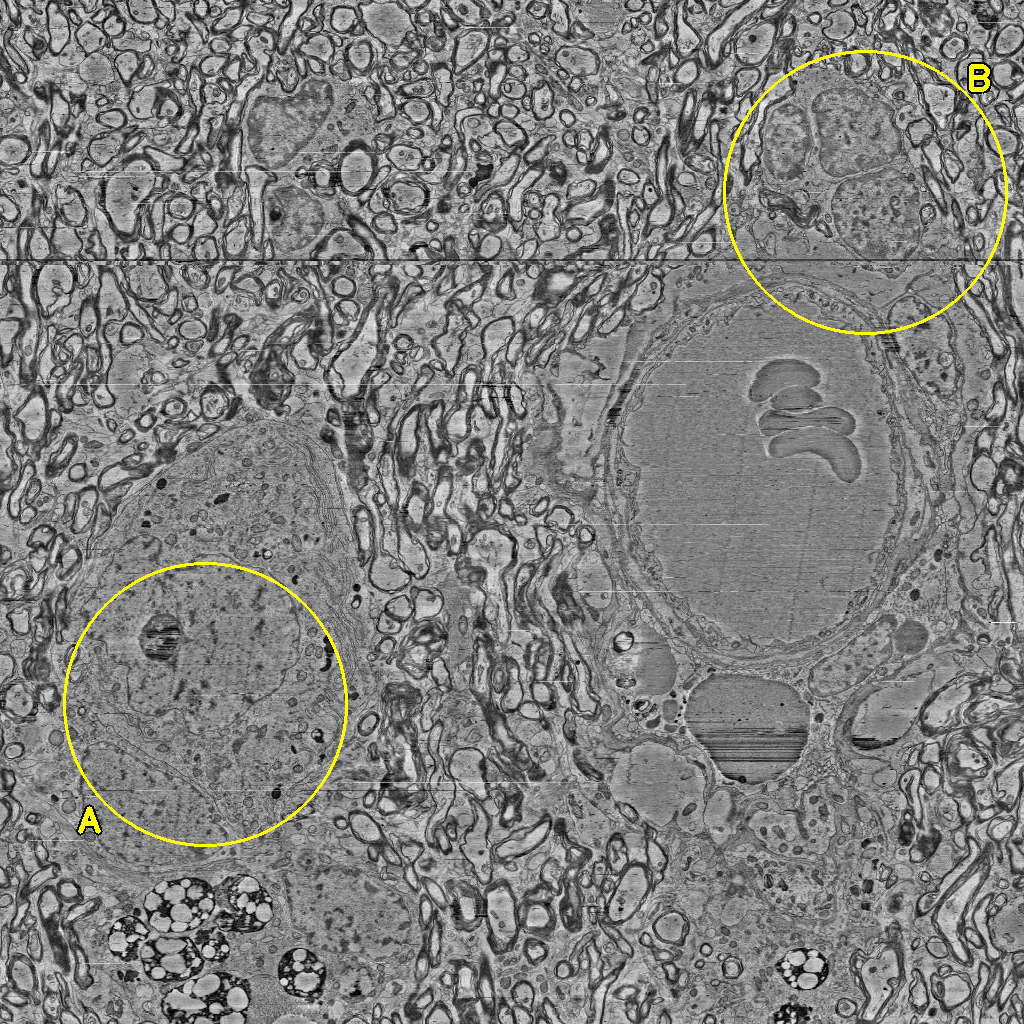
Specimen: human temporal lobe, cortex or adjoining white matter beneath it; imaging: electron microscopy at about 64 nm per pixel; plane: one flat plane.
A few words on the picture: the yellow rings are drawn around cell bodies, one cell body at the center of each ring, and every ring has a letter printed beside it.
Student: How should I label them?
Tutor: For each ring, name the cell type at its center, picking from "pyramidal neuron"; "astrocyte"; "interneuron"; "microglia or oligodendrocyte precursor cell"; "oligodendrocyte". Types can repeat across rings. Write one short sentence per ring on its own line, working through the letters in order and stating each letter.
In ring A, the central cell is an interneuron.
In ring B, the central cell is an oligodendrocyte.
